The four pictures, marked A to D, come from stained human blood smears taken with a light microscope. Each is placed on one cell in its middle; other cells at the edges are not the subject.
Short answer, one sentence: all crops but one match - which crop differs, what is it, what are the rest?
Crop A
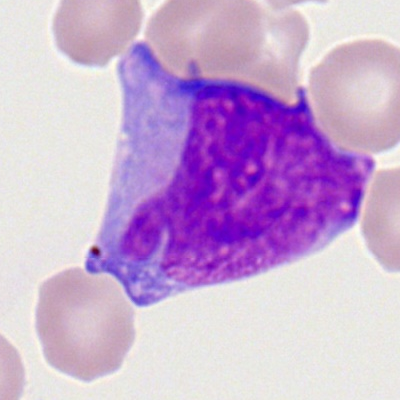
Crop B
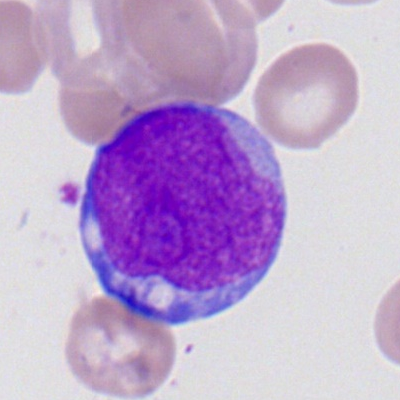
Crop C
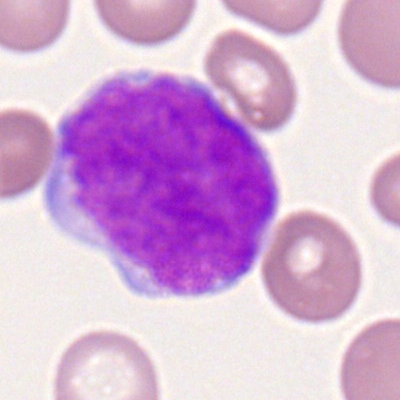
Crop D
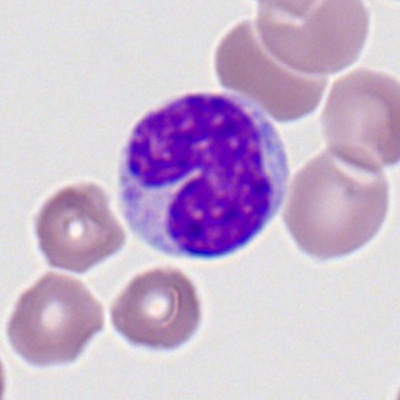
The different crop is crop D, a monocyte; all the others show myeloblasts.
